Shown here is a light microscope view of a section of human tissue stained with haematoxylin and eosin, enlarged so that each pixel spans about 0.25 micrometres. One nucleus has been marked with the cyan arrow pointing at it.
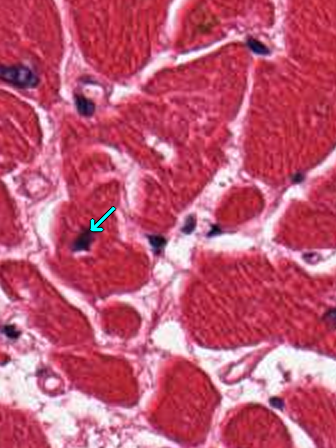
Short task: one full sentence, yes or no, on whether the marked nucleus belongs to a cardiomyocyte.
Yes, the marked nucleus is the nucleus belonging to a cardiomyocyte.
